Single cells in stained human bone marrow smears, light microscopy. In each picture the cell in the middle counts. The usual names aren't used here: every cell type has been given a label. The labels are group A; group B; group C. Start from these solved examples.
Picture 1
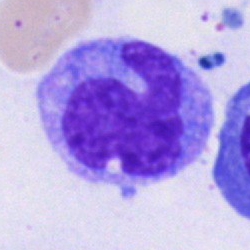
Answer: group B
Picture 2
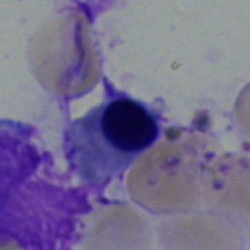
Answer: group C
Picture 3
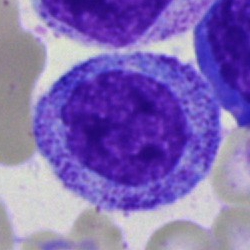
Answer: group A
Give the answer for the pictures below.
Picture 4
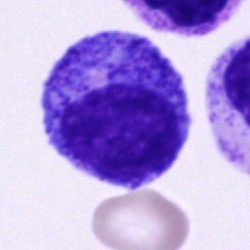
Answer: group A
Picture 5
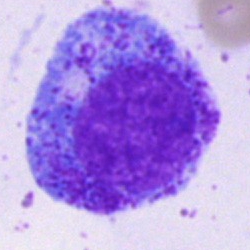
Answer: group A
